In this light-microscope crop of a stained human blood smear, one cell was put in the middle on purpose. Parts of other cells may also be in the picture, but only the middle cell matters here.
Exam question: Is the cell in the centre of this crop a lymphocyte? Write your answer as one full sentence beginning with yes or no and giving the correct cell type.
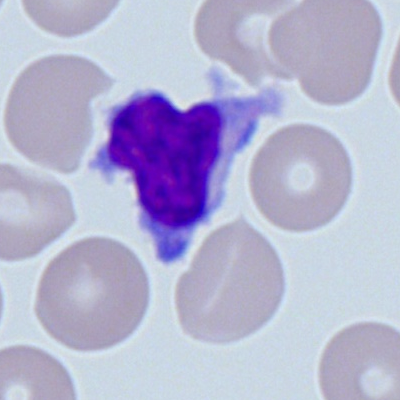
Yes, the cell that is in the middle is a lymphocyte.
